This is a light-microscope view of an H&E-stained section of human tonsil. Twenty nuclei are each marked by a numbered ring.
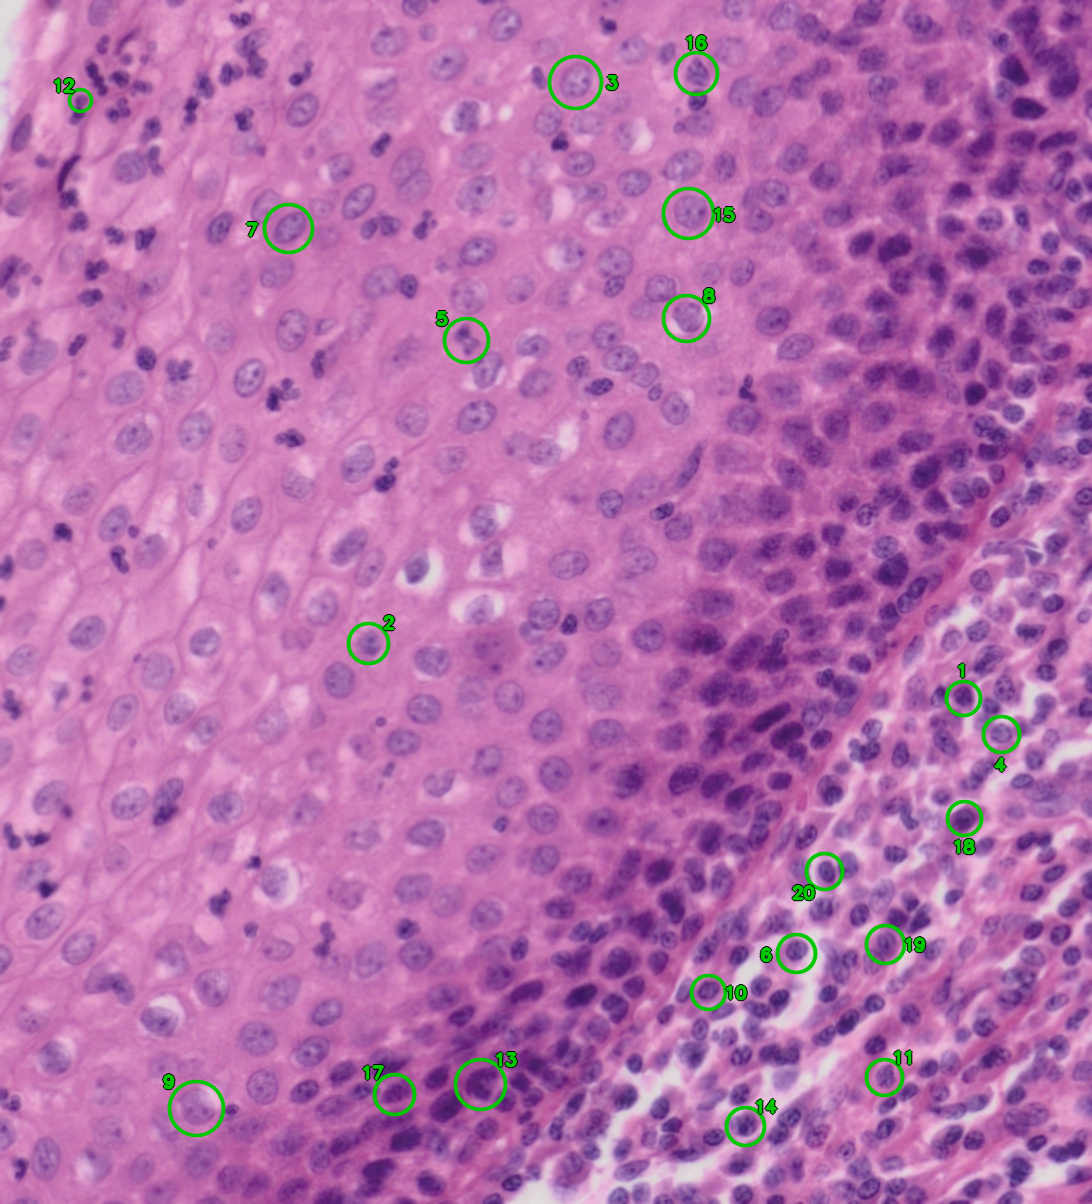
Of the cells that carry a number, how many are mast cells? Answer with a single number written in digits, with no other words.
1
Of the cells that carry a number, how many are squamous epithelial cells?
11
